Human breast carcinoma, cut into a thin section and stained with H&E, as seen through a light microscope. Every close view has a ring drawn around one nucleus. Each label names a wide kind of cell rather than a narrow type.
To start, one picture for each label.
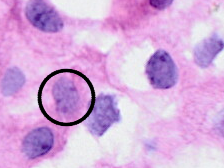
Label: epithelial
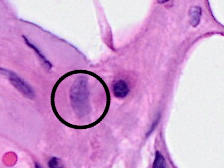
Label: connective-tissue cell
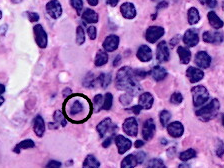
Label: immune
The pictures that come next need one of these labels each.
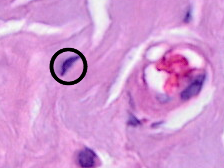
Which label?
connective-tissue cell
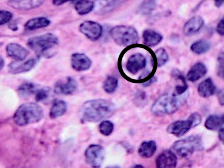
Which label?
immune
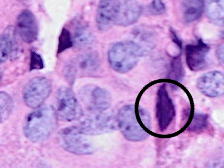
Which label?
epithelial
